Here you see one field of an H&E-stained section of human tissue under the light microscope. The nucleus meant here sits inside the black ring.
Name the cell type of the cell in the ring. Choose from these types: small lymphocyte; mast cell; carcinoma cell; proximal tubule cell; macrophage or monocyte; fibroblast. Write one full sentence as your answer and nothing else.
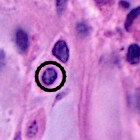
Among the cells in this section, the cell in the ring is a mast cell.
